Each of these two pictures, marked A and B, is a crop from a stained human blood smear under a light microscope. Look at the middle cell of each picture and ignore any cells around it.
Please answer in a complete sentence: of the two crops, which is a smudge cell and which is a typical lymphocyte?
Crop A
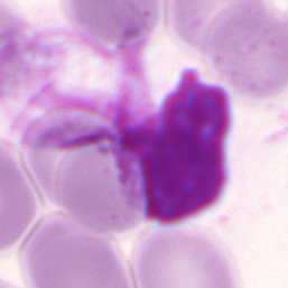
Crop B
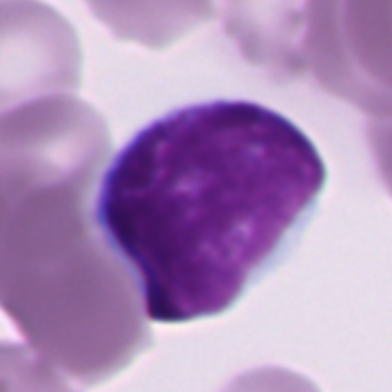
What is seen in crop A is a smudge cell; what is seen in crop B is a typical lymphocyte.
